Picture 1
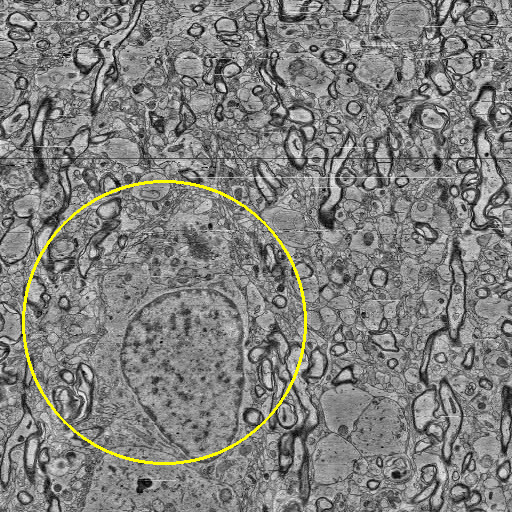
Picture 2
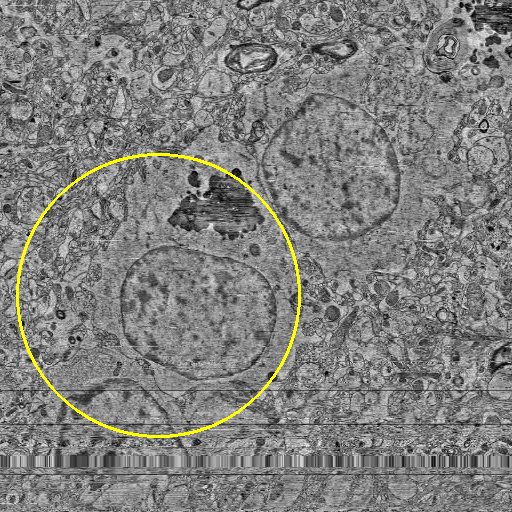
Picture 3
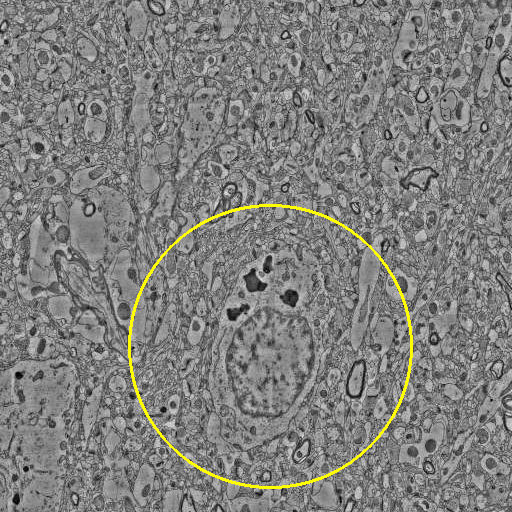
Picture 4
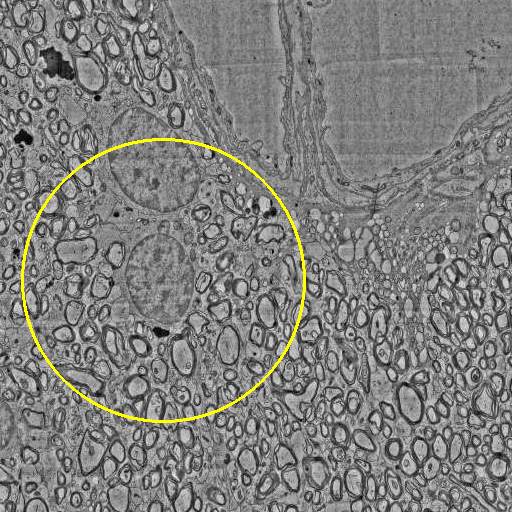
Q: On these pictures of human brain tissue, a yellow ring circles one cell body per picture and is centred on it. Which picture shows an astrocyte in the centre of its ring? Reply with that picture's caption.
Picture 2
